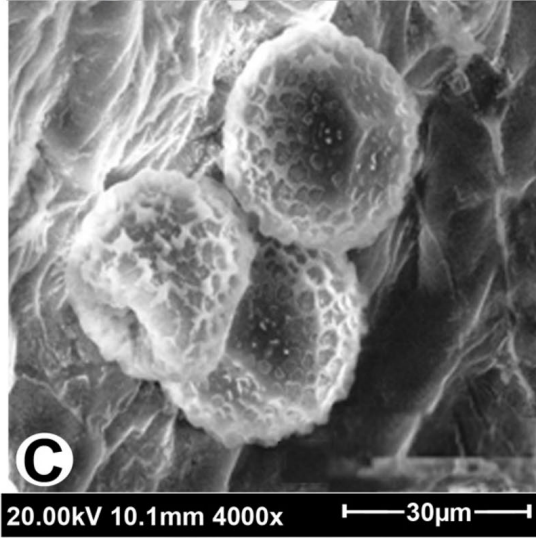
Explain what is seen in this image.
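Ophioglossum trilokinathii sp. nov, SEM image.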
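Scanning electron view of three rounded spores clustered together on a ridged, textured background. Their surfaces are covered by a network of raised ridges enclosing small pits and warts, giving a reticulate ornamentation, and the lower left spore shows a slightly depressed face.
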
